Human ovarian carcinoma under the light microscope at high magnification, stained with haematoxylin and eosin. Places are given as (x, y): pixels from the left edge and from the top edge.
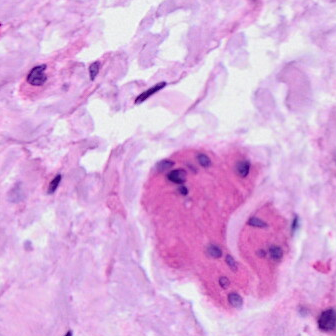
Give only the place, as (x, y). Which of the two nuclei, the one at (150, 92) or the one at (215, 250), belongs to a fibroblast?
(150, 92)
